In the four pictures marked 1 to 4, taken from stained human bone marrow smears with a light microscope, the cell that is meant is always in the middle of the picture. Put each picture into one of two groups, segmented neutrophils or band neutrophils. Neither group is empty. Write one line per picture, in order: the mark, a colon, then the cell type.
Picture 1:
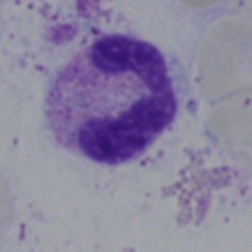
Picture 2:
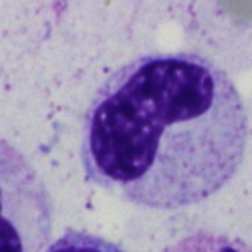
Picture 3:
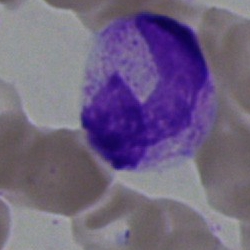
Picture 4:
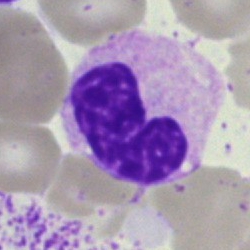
1: band neutrophil
2: band neutrophil
3: band neutrophil
4: segmented neutrophil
